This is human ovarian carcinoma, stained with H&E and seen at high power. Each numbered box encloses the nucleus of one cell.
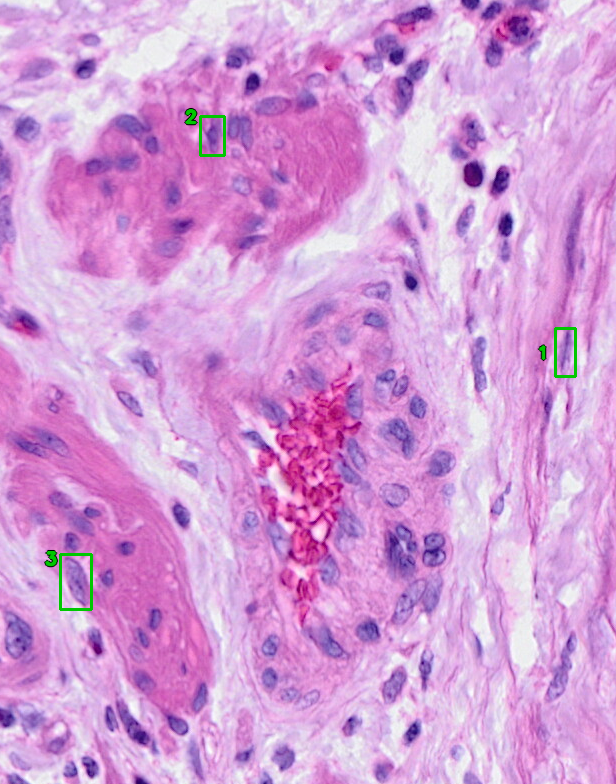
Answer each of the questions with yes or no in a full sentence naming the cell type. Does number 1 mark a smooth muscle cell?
No, cell 1 is correctly identified as a fibroblast and not as a smooth muscle cell.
